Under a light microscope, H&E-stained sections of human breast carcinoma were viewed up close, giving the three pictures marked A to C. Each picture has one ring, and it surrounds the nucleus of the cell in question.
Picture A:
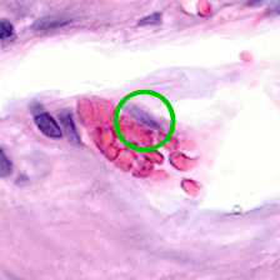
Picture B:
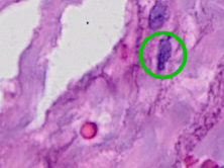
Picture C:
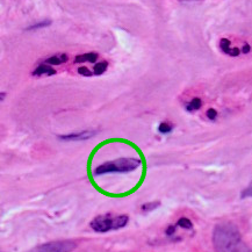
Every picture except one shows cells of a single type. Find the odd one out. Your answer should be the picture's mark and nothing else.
A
